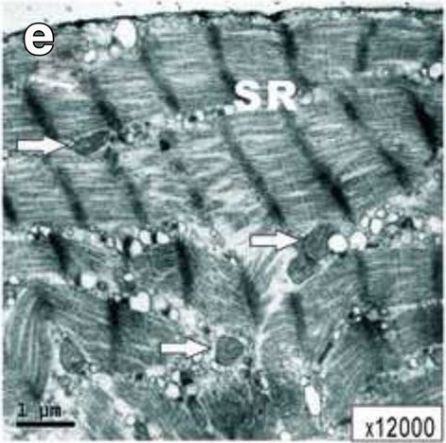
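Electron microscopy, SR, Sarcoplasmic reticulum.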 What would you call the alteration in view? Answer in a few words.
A: Disorganization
